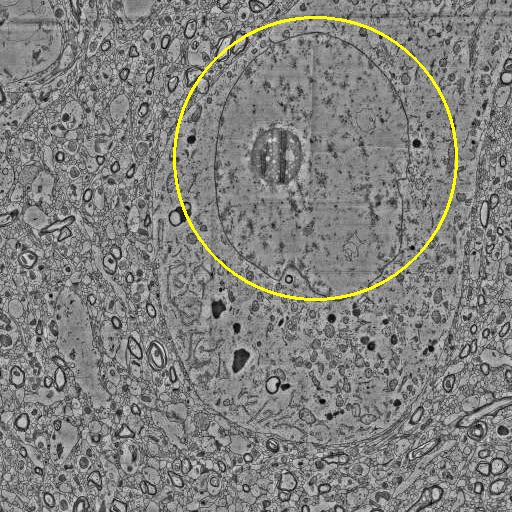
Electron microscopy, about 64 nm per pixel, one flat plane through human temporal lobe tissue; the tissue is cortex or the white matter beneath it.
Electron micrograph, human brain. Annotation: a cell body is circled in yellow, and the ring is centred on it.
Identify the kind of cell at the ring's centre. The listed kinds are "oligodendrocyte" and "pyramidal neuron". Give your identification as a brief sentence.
The circled cell body is that of a pyramidal neuron.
